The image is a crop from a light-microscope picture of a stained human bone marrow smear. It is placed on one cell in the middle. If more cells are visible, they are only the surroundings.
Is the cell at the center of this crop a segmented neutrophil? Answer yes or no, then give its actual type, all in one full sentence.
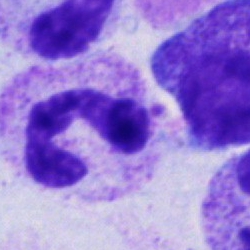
No, sorry, the middle cell is a band neutrophil rather than a segmented neutrophil.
